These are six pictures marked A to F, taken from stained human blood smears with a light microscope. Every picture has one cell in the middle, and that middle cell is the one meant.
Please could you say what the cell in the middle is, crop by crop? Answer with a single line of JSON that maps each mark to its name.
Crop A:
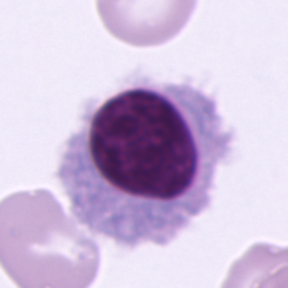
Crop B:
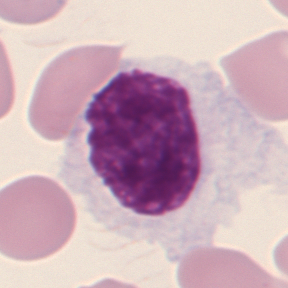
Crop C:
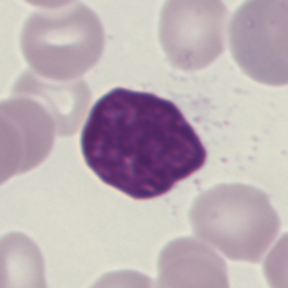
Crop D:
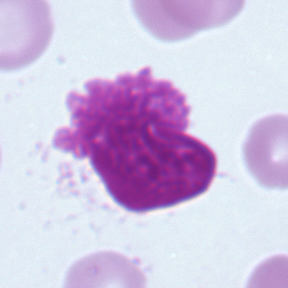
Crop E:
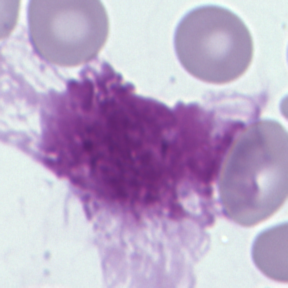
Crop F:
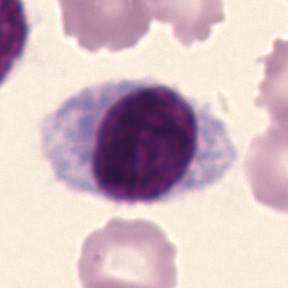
{"A": "hairy cell", "B": "hairy cell", "C": "smudge cell", "D": "smudge cell", "E": "smudge cell", "F": "hairy cell"}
